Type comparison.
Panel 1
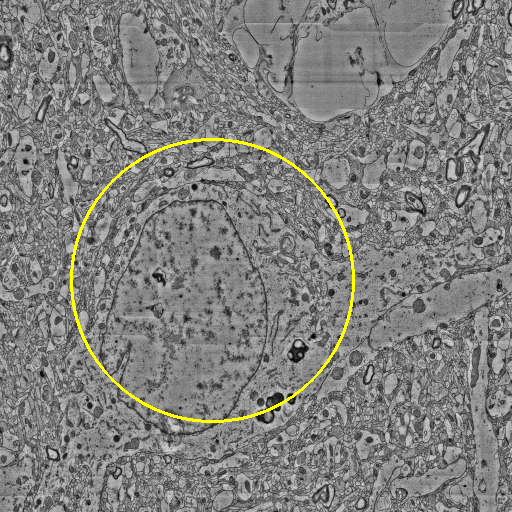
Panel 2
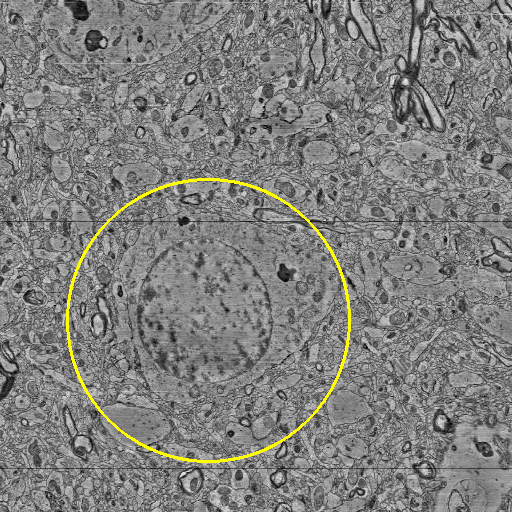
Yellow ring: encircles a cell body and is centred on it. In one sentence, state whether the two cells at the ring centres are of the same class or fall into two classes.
In these panels, the two cells at the ring centres fall into two classes.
